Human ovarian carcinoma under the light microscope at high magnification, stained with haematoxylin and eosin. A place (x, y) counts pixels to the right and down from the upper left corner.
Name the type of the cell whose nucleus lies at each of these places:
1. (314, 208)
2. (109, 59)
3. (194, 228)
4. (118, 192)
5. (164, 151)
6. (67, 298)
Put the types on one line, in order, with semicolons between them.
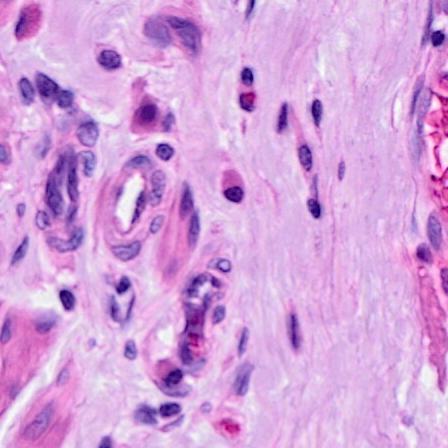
lymphocyte; lymphocyte; smooth muscle cell; endothelial cell; lymphocyte; lymphocyte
